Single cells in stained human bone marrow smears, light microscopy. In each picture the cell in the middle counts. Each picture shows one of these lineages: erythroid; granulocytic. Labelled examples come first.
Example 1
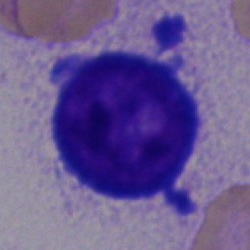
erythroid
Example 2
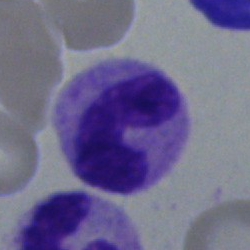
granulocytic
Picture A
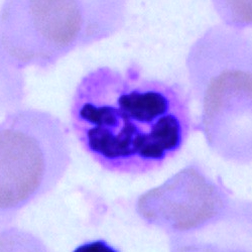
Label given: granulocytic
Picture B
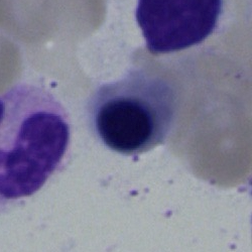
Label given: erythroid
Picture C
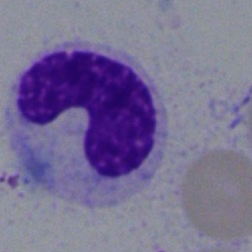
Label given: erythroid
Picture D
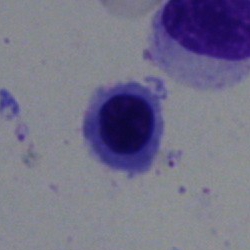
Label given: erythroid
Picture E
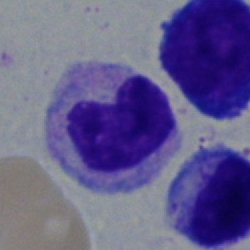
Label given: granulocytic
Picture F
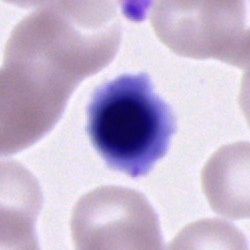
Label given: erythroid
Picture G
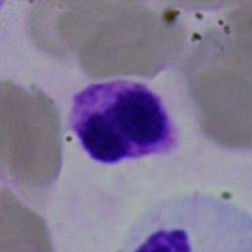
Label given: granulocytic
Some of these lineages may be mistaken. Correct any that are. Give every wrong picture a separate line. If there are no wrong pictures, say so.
C should be granulocytic, not erythroid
